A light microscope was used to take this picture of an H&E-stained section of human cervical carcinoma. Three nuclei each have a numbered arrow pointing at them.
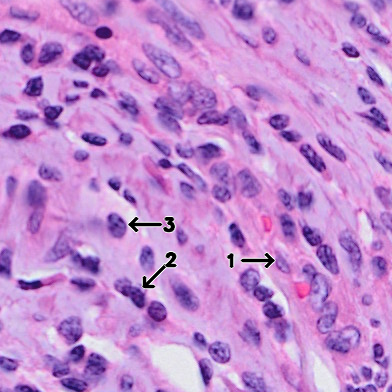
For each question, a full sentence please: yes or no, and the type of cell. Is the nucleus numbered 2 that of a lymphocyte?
Yes, the one numbered 2 is a lymphocyte.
